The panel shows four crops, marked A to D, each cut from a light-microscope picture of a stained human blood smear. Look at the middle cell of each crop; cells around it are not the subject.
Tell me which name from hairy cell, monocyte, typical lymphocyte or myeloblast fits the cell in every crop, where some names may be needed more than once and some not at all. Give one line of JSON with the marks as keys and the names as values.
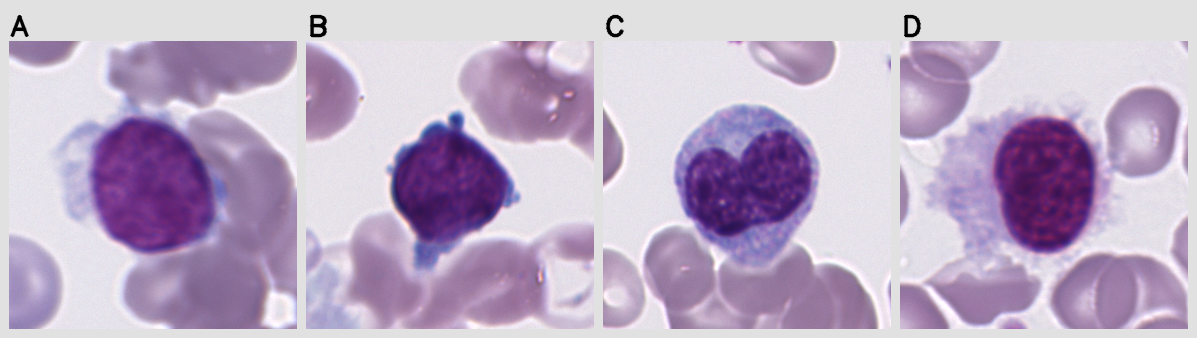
{"A": "hairy cell", "B": "myeloblast", "C": "monocyte", "D": "hairy cell"}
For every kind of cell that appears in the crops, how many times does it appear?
hairy cell: 2
myeloblast: 1
monocyte: 1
